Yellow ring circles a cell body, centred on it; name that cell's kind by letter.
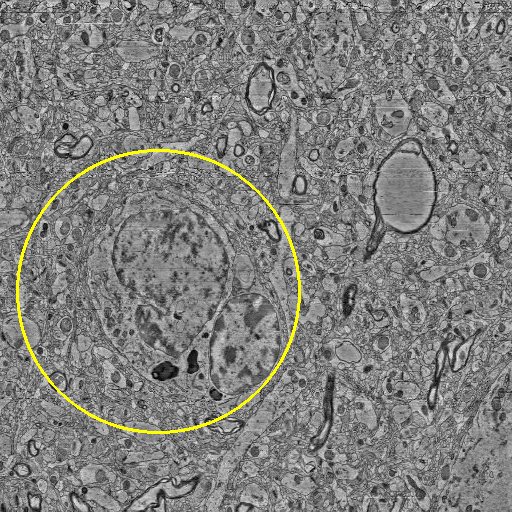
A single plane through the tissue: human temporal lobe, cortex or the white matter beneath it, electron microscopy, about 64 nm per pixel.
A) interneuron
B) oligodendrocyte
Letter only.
A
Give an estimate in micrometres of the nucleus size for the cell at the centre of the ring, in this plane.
Roughly 10 micrometres by 7 micrometres, in this plane.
